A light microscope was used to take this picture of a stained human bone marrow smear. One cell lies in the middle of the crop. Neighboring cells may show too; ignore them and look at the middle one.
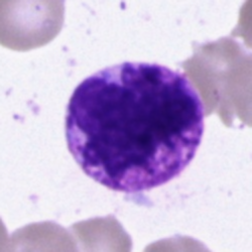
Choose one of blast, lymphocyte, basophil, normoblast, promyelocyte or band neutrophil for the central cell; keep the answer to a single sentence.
This particular crop is centered on a basophil.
